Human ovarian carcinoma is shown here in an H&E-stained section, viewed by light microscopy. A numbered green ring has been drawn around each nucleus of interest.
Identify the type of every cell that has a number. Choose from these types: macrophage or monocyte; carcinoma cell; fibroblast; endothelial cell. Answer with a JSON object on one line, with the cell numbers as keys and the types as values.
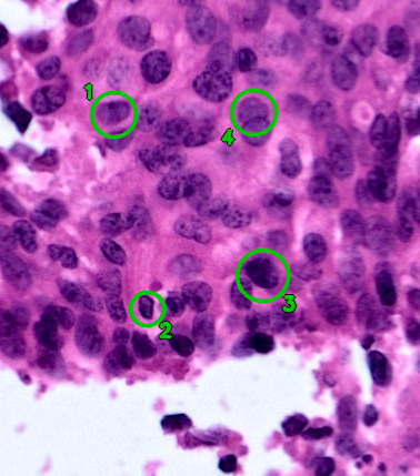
{"1": "carcinoma cell", "2": "macrophage or monocyte", "3": "carcinoma cell", "4": "carcinoma cell"}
